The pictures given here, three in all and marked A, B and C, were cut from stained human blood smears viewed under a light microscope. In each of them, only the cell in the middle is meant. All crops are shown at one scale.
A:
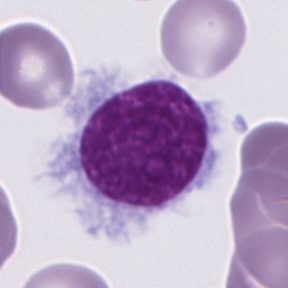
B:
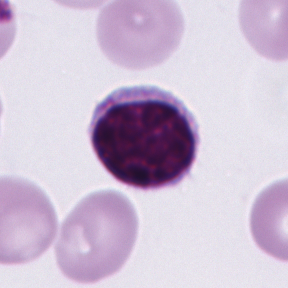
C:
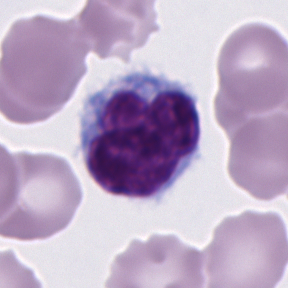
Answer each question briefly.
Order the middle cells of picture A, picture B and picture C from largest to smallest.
A, C, B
